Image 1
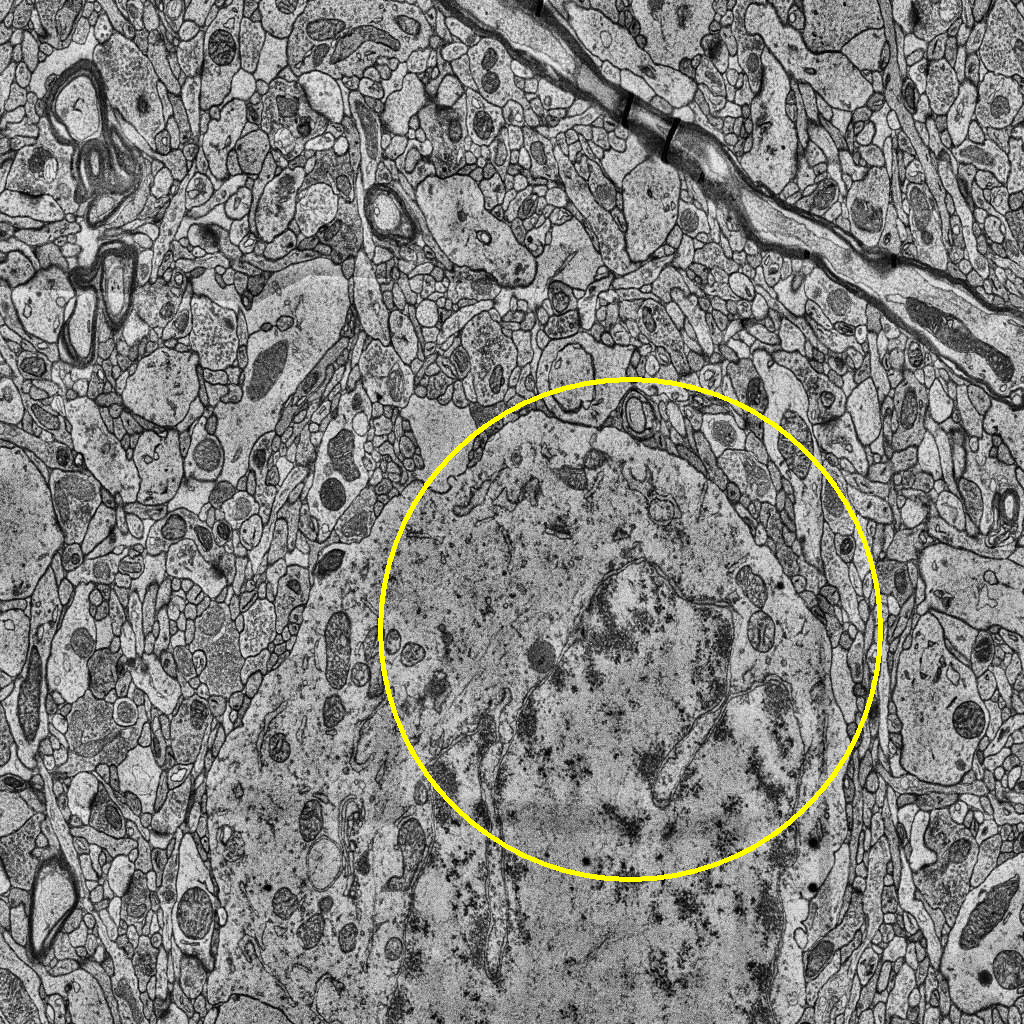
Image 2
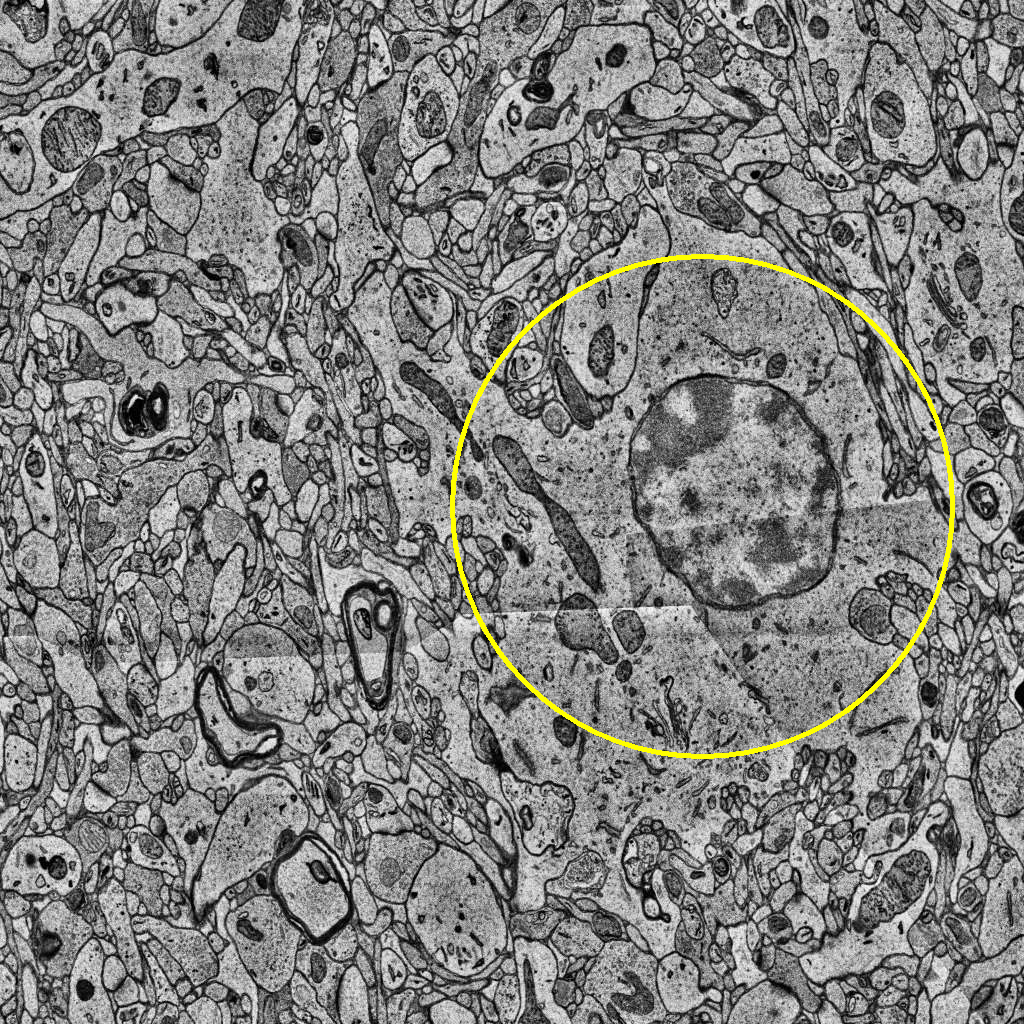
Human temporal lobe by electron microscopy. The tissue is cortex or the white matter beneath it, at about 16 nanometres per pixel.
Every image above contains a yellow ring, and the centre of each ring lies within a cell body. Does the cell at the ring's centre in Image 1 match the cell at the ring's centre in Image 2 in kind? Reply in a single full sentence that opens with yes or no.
No, the cell at the ring's centre in Image 1 is a separate kind from that in Image 2.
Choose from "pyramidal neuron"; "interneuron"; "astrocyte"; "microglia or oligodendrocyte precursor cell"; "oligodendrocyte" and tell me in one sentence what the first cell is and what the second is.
Here the first cell is an interneuron and the second cell is an astrocyte.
